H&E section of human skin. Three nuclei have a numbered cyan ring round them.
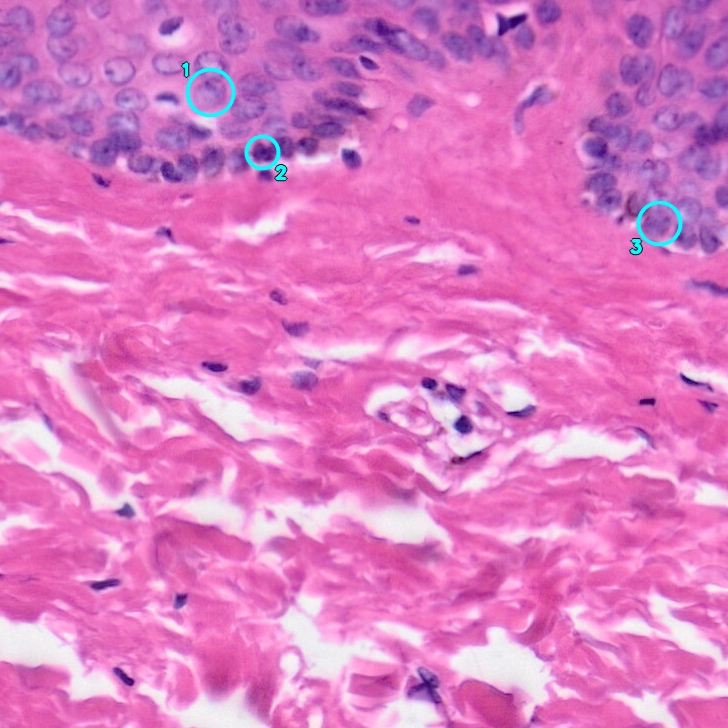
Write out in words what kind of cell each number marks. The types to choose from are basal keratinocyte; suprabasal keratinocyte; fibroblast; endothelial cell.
Cell 1 is a suprabasal keratinocyte, cell 2 is a basal keratinocyte and cell 3 is a basal keratinocyte.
